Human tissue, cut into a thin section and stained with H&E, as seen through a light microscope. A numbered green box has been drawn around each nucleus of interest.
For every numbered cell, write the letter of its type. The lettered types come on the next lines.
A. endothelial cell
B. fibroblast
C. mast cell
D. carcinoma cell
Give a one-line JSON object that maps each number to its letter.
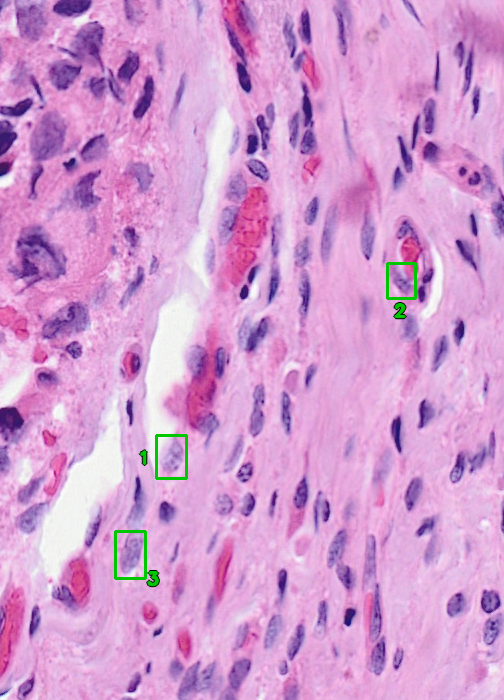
{"1": "B", "2": "A", "3": "B"}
